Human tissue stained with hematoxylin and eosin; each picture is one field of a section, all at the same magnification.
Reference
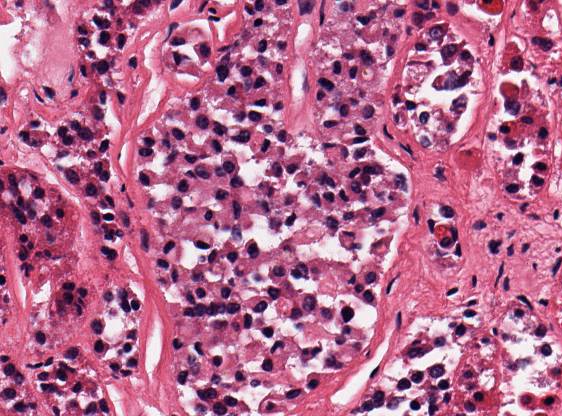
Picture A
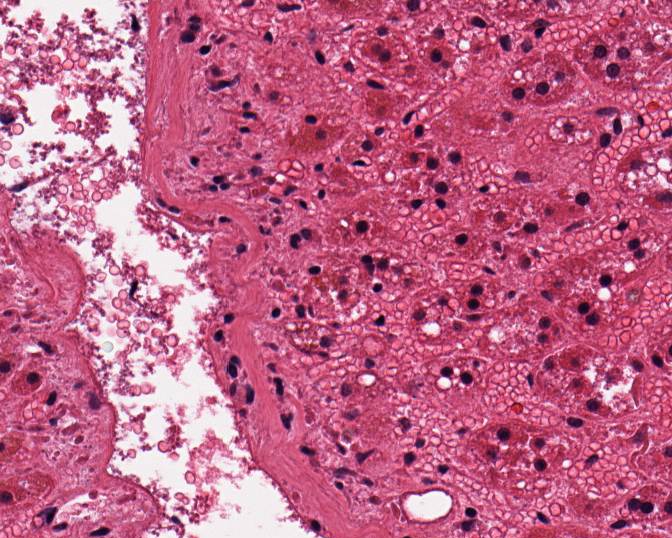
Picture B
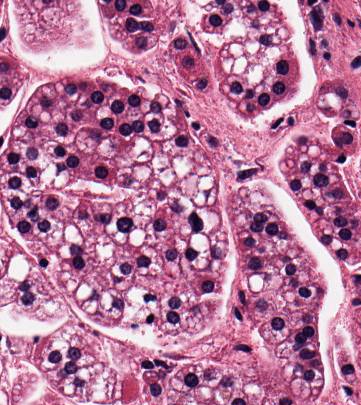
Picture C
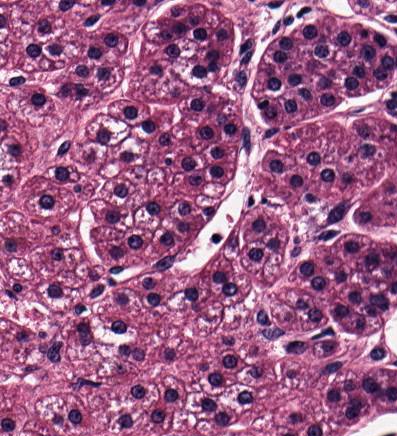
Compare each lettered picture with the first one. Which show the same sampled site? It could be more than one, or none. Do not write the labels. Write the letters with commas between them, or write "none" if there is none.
none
